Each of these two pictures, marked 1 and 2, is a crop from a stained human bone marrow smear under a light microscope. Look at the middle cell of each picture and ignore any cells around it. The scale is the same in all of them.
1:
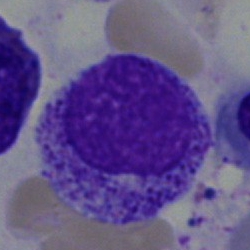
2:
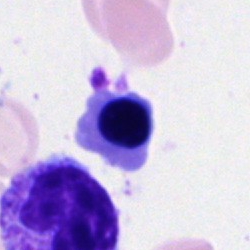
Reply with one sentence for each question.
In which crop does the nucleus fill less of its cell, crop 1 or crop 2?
The nucleus fills less of the cell in crop 2 than in crop 1.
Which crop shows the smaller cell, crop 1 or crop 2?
It is the cell in crop 2; the cell in crop 1 has about 4 times its area.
